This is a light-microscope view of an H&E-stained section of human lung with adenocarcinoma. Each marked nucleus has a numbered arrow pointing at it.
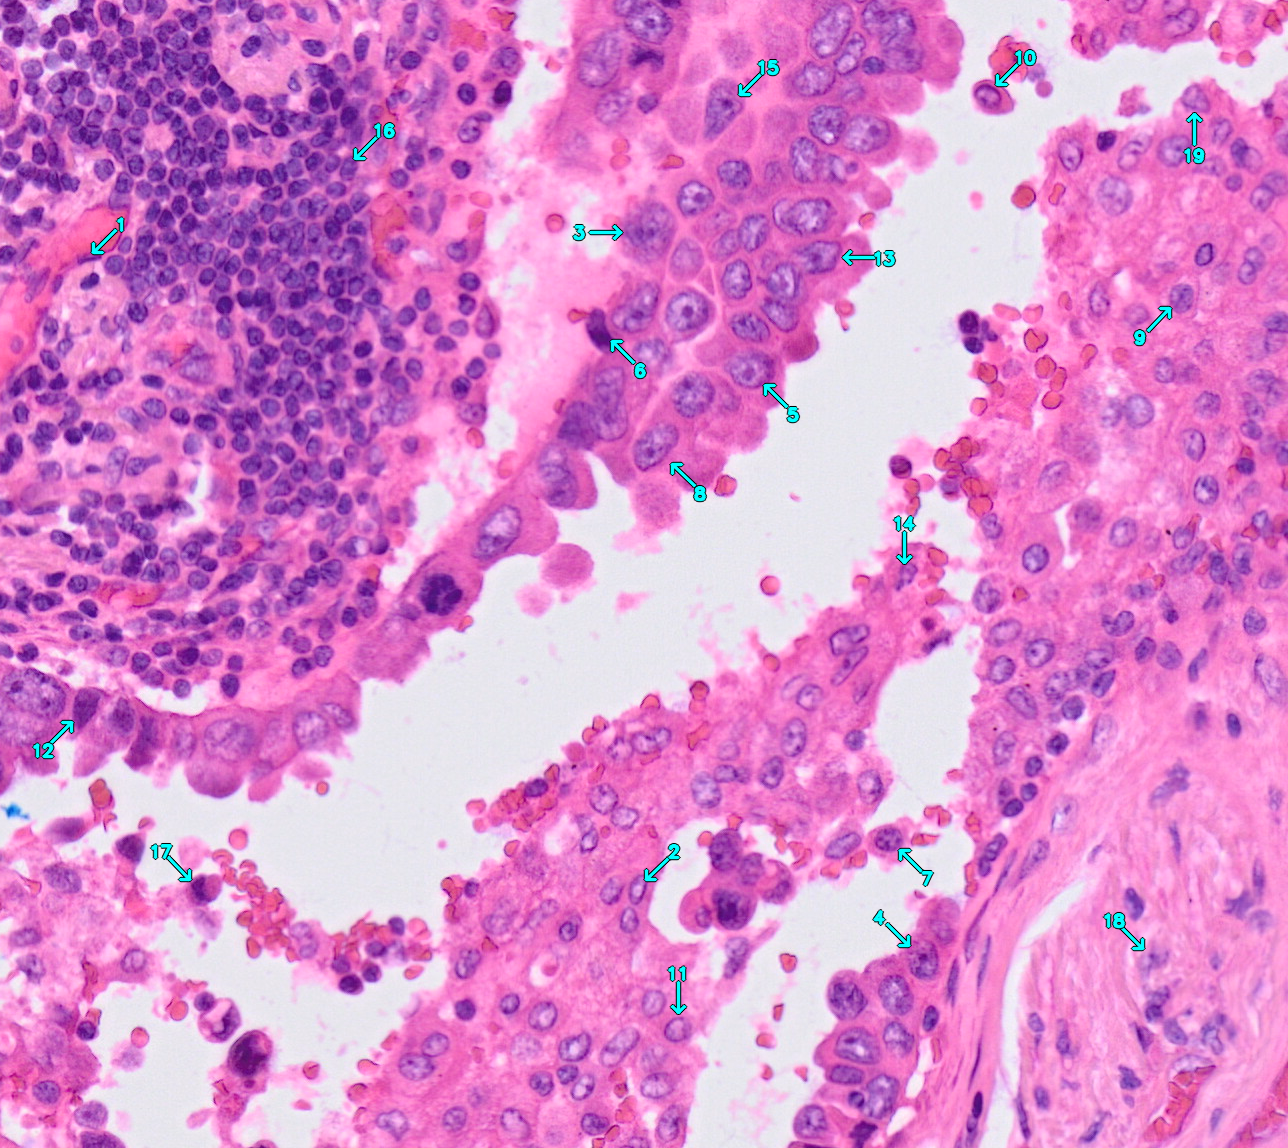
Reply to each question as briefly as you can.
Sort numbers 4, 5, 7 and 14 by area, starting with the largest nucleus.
5, 4, 7, 14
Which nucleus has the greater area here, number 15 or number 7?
15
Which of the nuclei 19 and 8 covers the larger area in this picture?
8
